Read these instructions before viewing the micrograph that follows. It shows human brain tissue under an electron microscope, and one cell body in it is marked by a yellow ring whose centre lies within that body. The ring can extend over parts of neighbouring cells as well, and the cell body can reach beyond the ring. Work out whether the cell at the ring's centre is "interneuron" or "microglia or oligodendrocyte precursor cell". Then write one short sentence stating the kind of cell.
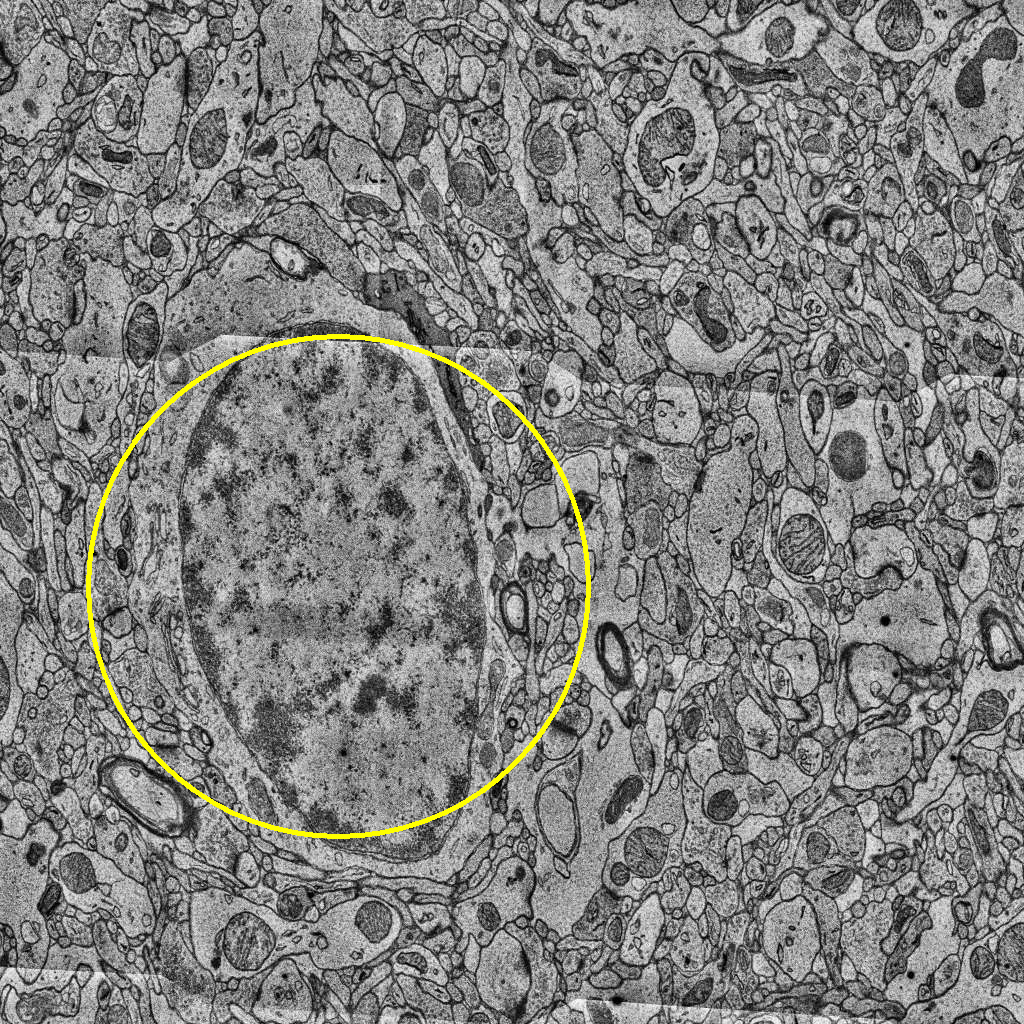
The cell at the ring's centre is a microglial cell or oligodendrocyte precursor cell.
